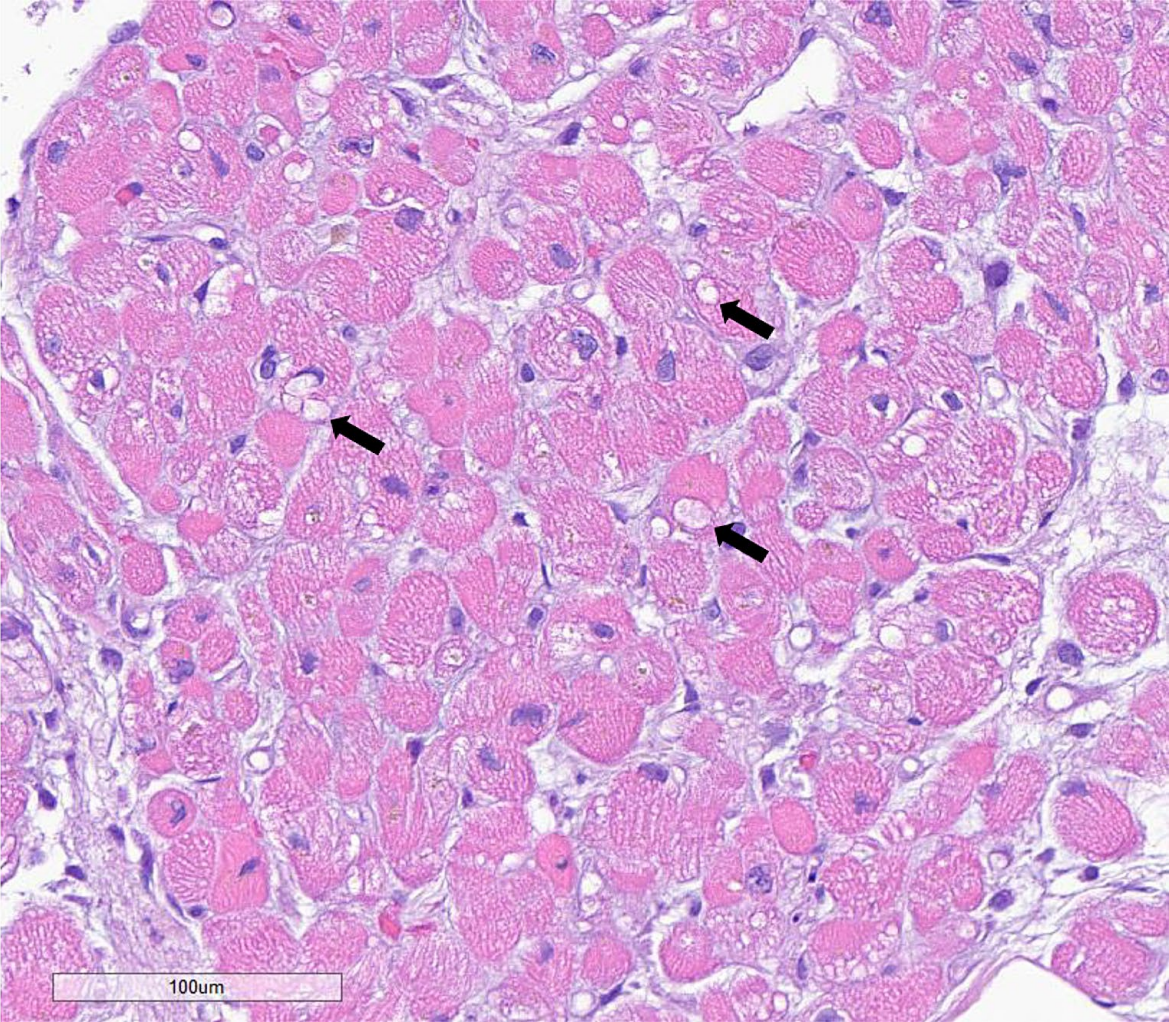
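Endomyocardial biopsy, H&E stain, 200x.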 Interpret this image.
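This is myocardium with heart muscle fibres cut mostly in cross section, each showing pink cytoplasm with finely stippled or streaked myofibrils. The fibres vary in size and are packed closely, separated by thin strands of pale, loose interstitial connective tissue. Single dark purple nuclei sit centrally in some fibre profiles, and small elongated nuclei of interstitial cells lie between the fibres. Many fibres contain round, clear, sharply outlined vacuoles in their cytoplasm, ranging from tiny to roughly nucleus-sized, sometimes several grouped together. Small yellow-brown granules are seen within some fibres, and a few bright red blood cells lie in the narrow spaces between fibres.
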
